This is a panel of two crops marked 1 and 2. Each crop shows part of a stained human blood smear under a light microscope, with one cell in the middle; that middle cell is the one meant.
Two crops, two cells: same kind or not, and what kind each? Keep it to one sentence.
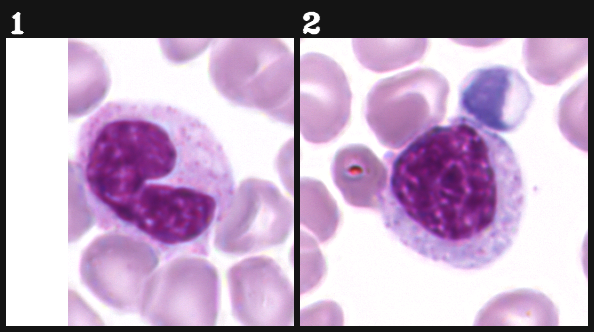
No, crop 1 has a band neutrophil in the middle, and crop 2 has a metamyelocyte.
